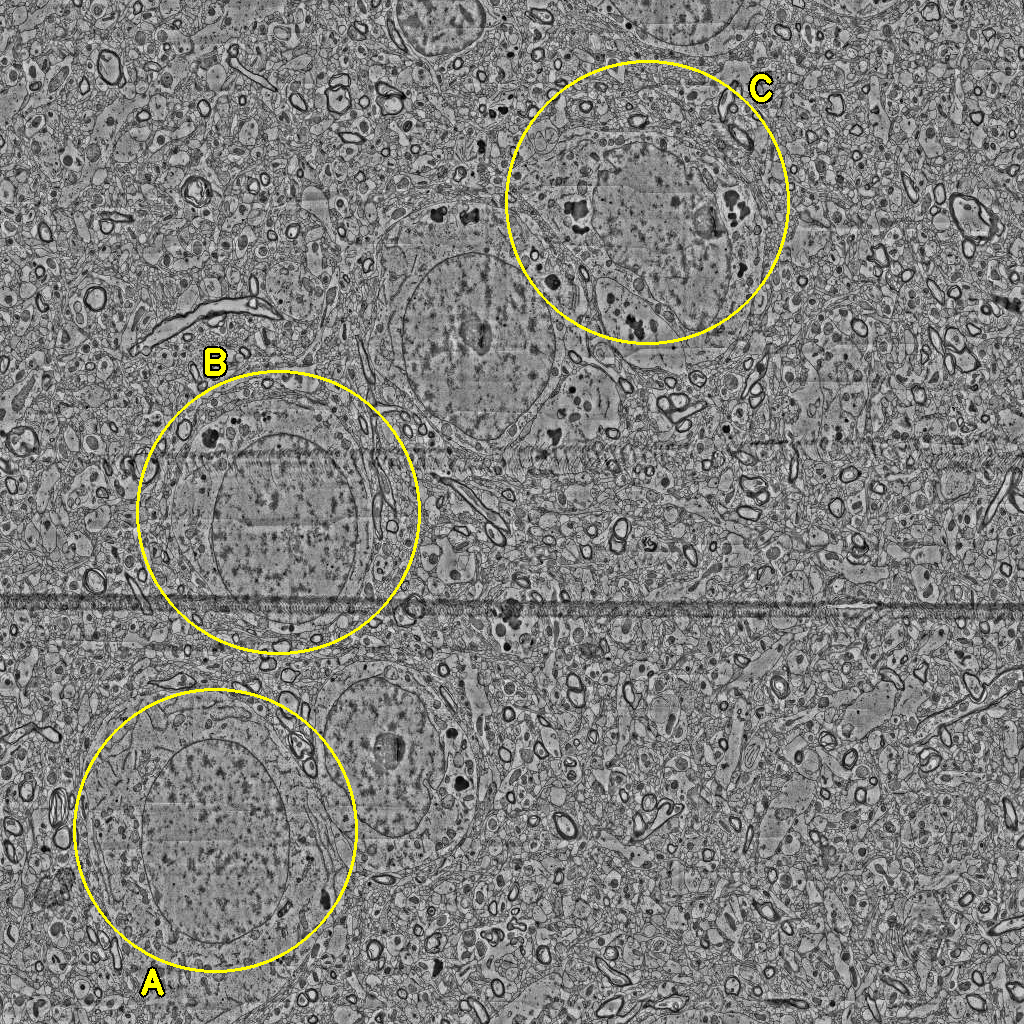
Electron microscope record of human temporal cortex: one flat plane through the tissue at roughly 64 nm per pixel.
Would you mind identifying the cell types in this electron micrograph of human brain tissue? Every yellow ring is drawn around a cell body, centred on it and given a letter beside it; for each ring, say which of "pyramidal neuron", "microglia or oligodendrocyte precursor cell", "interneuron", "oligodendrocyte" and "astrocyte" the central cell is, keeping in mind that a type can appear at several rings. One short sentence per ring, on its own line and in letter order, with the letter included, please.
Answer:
At the centre of ring A lies a pyramidal neuron.
At the centre of ring B lies a pyramidal neuron.
At the centre of ring C lies an interneuron.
